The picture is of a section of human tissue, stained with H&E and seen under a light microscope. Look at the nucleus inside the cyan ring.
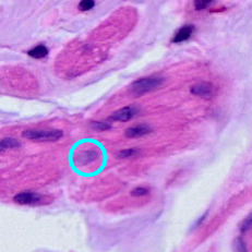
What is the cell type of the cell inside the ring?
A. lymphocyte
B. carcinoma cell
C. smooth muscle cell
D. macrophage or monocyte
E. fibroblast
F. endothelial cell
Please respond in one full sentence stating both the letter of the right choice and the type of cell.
Here the right answer is C, with the cell inside the ring being a smooth muscle cell.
